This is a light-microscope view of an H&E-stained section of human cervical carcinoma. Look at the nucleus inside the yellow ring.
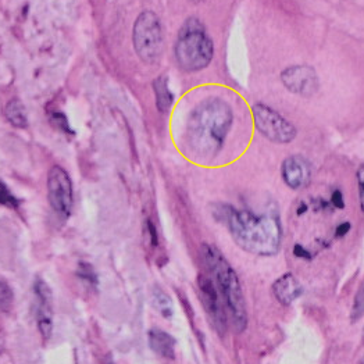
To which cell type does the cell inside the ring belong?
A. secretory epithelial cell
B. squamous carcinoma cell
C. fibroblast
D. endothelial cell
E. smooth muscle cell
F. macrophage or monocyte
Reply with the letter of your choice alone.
B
